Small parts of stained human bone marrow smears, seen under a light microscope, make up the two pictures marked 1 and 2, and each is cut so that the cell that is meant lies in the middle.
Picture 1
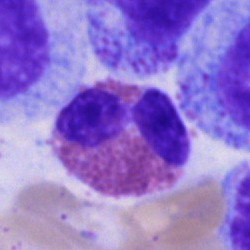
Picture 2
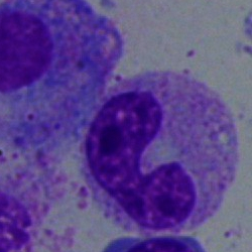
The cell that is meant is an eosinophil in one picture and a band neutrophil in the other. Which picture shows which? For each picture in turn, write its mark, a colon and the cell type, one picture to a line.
1: eosinophil
2: band neutrophil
